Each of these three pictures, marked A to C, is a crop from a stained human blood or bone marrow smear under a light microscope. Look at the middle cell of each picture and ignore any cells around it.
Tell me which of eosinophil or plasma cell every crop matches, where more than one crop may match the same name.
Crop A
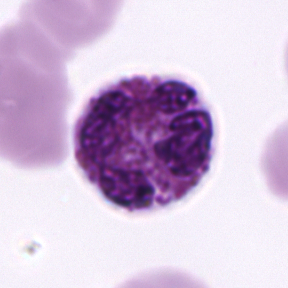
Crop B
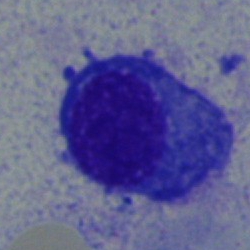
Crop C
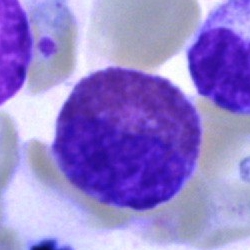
A: eosinophil
B: plasma cell
C: eosinophil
